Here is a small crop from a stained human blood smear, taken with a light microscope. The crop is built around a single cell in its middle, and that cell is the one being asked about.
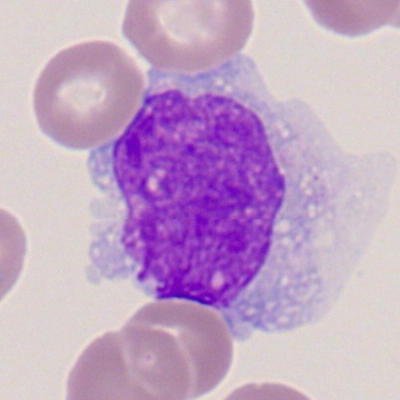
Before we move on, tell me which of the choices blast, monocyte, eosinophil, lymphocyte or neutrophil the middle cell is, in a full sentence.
As for the cell in the middle, it is a monocyte.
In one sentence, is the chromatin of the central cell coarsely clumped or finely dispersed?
The chromatin is fine, with no coarse clumping anywhere.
